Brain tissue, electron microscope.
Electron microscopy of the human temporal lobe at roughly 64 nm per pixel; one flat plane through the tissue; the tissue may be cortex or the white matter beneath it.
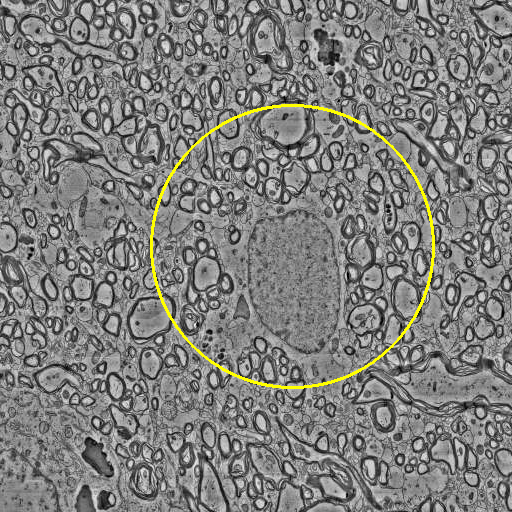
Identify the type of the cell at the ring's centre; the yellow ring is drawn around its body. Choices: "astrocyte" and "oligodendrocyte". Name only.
astrocyte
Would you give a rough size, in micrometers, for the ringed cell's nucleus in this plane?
About 9 by 7 micrometres in this plane.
